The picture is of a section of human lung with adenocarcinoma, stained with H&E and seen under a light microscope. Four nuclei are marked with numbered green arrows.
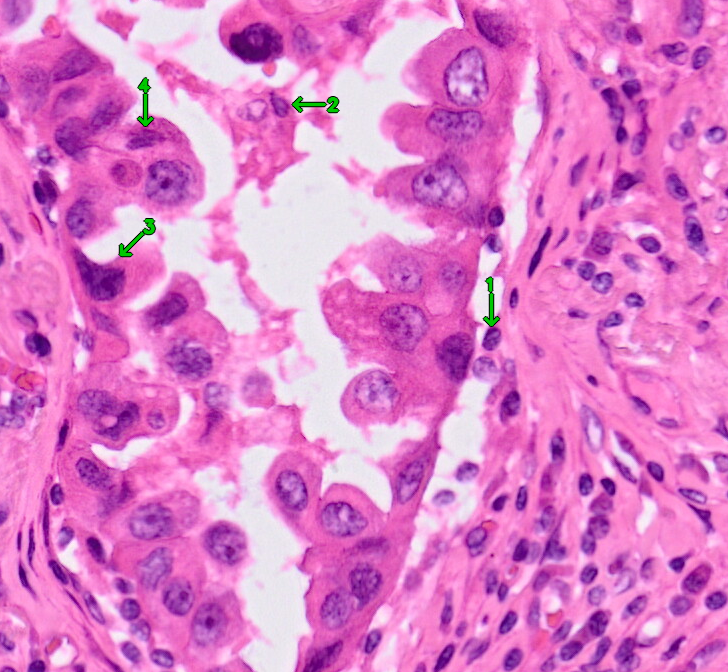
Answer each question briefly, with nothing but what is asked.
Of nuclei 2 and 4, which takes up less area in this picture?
2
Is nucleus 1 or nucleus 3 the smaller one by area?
1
